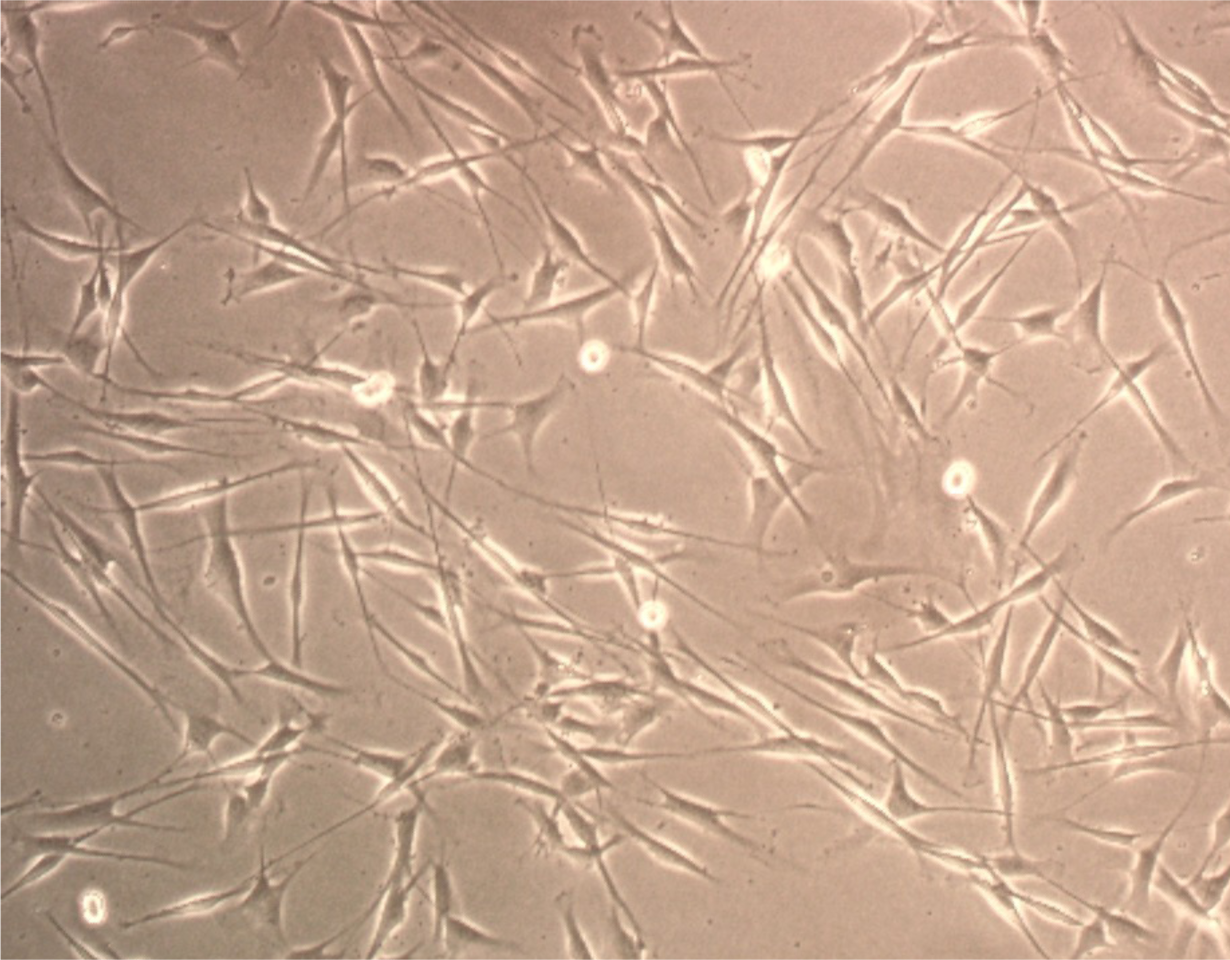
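Most cells are elongated and spindle-shaped, with bright, phase-bright edges and thin tapering processes at both ends, some with three or more processes. They lie loosely scattered and partly aligned, crossing one another to form an open network rather than a closed sheet, with empty substrate between groups. A few small round, bright refractile cells stand out among the flat spread cells. Many cells are somewhat shorter and broader than a very long thin spindle.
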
